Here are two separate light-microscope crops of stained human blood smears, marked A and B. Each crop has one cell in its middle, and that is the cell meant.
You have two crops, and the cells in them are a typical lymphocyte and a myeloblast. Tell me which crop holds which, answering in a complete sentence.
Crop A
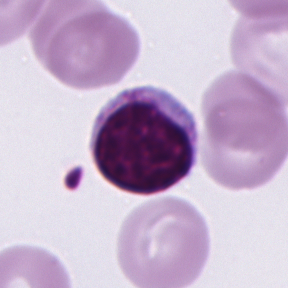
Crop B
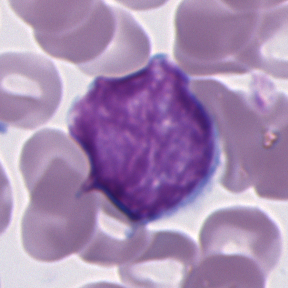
There is a typical lymphocyte in crop A and a myeloblast in crop B.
